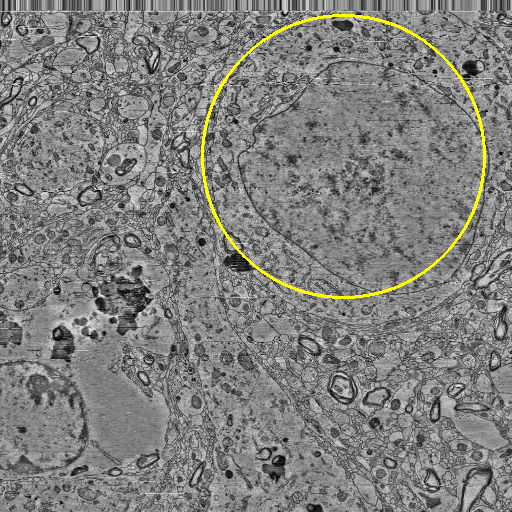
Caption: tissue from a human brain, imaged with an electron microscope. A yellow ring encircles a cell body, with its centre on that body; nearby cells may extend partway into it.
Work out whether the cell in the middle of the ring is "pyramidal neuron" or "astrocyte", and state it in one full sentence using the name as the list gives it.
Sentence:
In the picture, the cell that the yellow ring surrounds at its centre is a pyramidal neuron.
